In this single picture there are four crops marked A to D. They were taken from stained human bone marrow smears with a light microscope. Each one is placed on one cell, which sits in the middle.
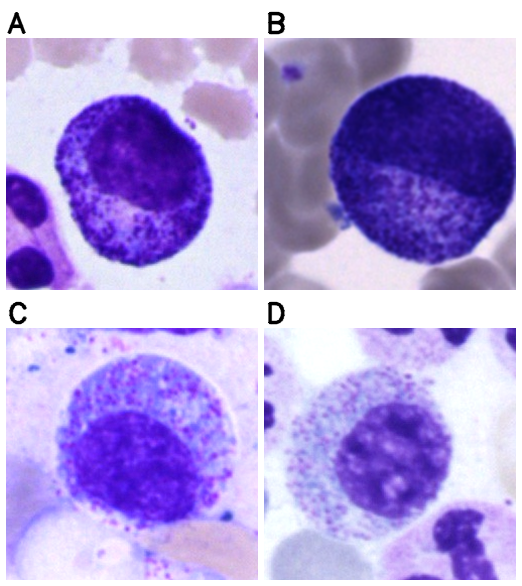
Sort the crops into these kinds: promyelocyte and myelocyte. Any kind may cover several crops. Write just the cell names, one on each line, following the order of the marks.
promyelocyte
promyelocyte
promyelocyte
myelocyte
